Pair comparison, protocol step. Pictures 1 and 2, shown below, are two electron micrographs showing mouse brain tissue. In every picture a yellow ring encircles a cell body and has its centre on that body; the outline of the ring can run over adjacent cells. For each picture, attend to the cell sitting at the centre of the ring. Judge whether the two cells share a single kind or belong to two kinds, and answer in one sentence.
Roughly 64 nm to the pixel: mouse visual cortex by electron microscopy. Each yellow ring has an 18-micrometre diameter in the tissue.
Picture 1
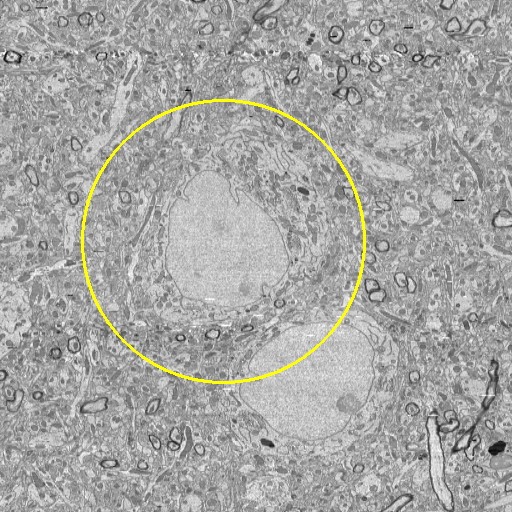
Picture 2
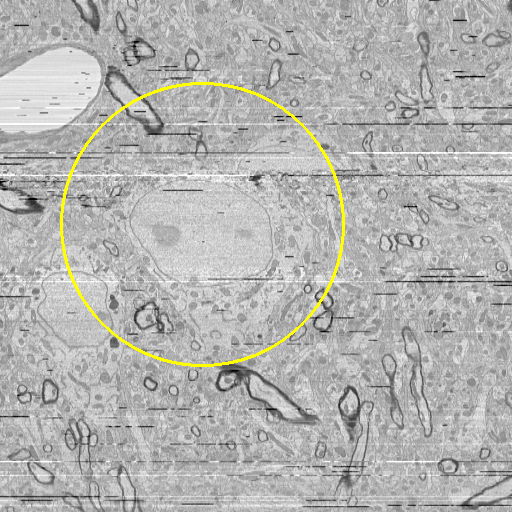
The two cells at the ring centres in Picture 1 and Picture 2 belong to two kinds.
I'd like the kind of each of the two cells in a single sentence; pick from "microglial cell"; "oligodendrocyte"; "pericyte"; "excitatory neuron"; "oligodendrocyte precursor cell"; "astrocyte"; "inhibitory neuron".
The first ring marks an inhibitory neuron, and the second ring marks an excitatory neuron.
